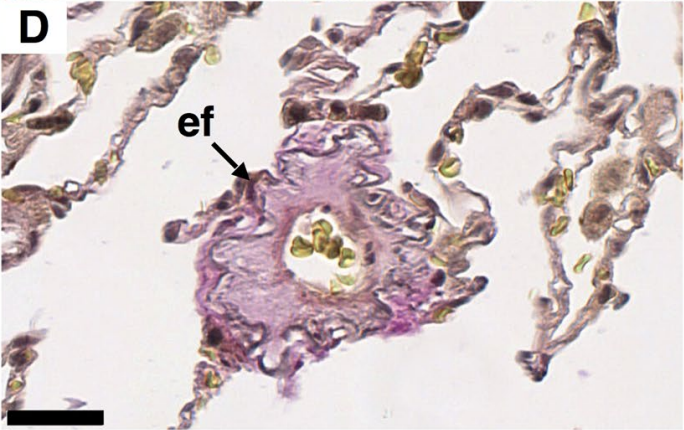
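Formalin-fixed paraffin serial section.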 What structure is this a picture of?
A: Blood vessels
